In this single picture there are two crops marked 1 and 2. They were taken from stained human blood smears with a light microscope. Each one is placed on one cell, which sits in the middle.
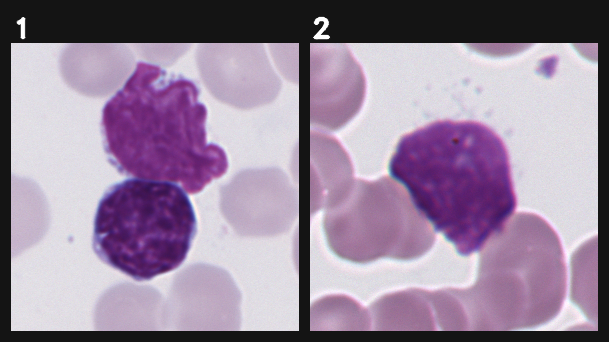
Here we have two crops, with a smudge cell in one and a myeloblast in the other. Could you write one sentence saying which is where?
Crop 1 is a myeloblast, whereas a smudge cell is found in crop 2.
